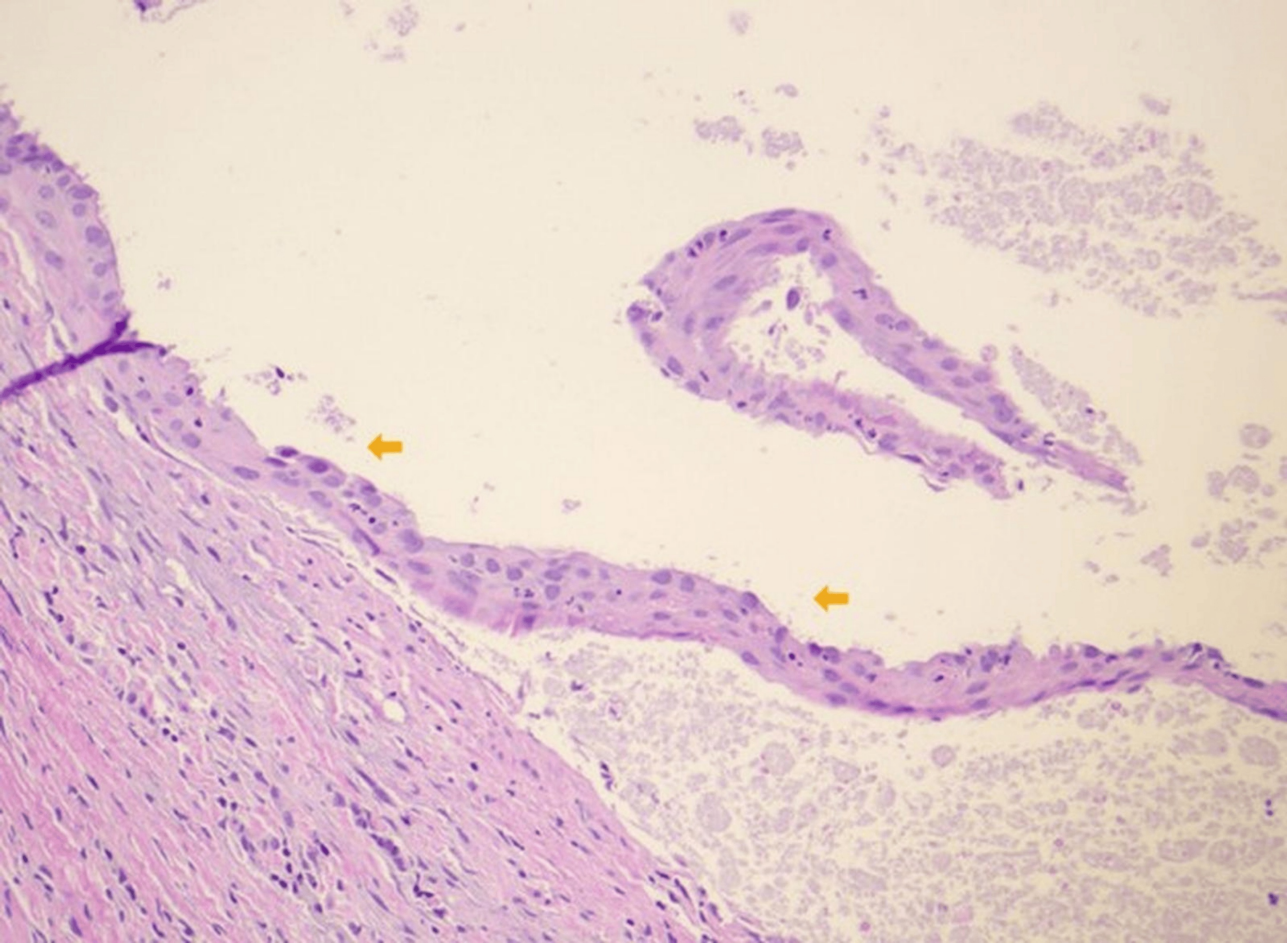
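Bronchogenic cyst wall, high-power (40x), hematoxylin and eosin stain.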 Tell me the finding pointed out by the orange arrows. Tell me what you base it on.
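The lining at the arrows is a stratified layer several cells thick rather than a single columnar row. The lining cells are polygonal to flattened with pink cytoplasm and oval nuclei. No cilia are seen on the luminal surface at the arrows. So: squamous metaplasia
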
